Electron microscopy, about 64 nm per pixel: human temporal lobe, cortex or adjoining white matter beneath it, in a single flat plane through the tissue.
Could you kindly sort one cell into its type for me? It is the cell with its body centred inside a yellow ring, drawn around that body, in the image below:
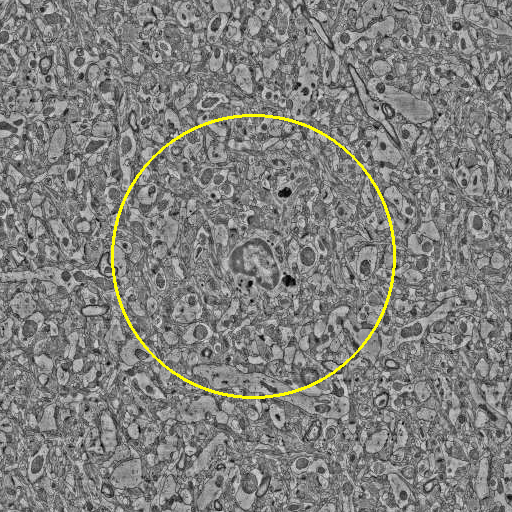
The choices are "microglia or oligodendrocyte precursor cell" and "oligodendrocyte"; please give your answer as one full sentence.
The cell whose body lies centred in the yellow ring here is a microglial cell or oligodendrocyte precursor cell.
